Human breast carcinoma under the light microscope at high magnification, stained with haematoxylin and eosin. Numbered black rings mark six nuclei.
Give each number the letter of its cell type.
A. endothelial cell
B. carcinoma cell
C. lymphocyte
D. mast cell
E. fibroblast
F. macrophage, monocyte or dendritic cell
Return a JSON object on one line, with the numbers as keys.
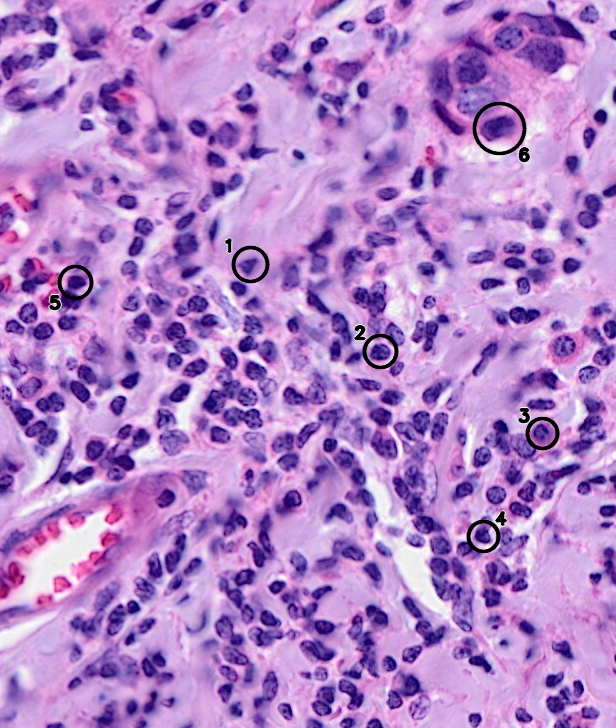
{"1": "C", "2": "C", "3": "D", "4": "C", "5": "C", "6": "B"}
